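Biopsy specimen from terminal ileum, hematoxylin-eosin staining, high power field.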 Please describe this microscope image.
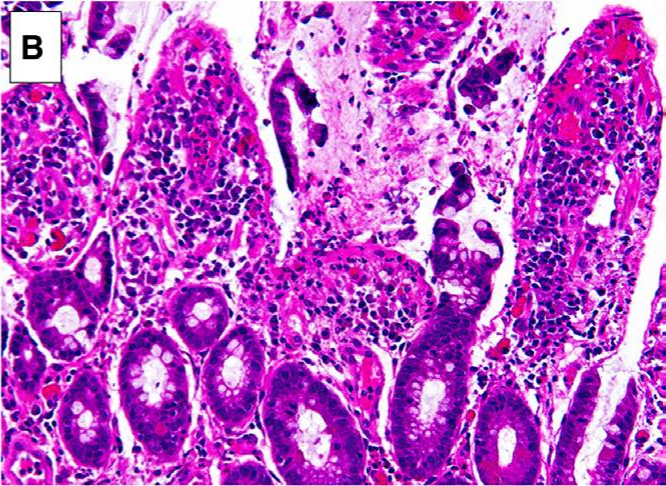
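The crypts are cut in cross section and lined by columnar epithelial cells with dark, basally placed nuclei, among which clear, mucin-filled goblet cells are seen. The lamina propria between the crypts and in the villi is densely packed with small round cells with dark nuclei, consistent with lymphocytes. Cells with pink cytoplasm are mixed among them, consistent with eosinophils. At the surface the epithelium is damaged, and pale, loose material containing detached cells lies over the mucosa.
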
